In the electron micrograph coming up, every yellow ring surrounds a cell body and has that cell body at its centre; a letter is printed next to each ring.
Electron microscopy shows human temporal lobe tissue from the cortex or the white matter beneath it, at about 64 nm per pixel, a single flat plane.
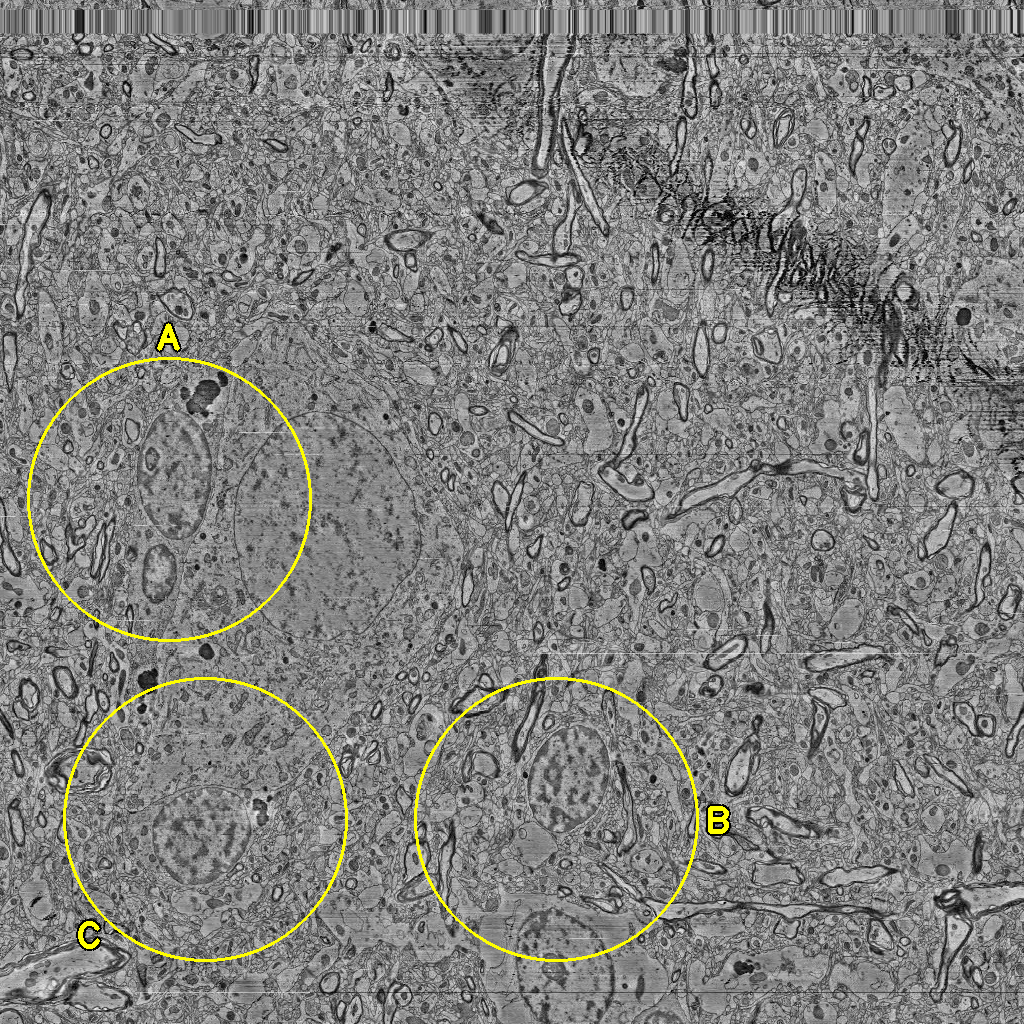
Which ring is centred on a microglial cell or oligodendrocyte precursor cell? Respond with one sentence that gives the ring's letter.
Ring B is the one whose centre sits on the cell asked for in the picture.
